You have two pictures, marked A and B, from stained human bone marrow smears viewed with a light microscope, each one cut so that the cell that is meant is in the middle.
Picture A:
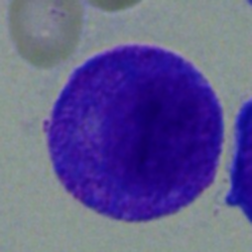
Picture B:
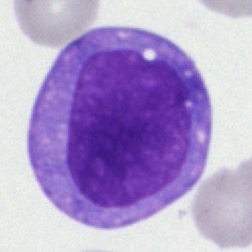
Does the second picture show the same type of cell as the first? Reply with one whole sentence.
No, picture A shows a promyelocyte and picture B shows a blast.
